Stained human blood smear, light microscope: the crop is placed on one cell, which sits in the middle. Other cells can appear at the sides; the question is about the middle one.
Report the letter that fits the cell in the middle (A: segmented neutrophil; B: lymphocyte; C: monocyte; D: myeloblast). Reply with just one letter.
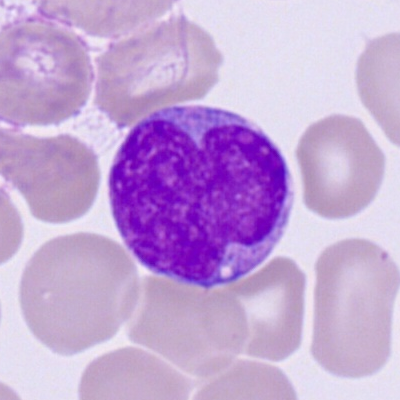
D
